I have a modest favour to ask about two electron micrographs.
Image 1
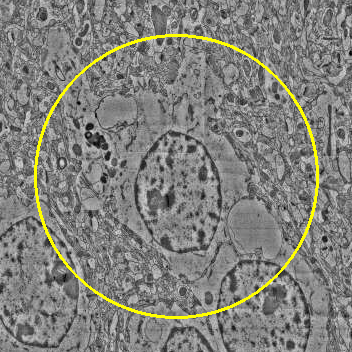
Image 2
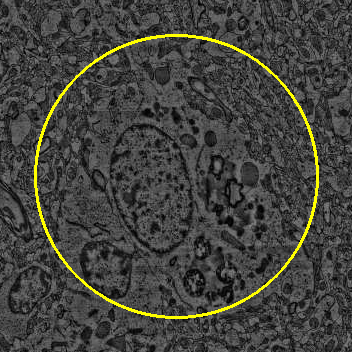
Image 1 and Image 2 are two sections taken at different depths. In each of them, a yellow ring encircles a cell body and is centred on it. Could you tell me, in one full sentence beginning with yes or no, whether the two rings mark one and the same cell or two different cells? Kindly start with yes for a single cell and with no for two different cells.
No, within the two rings lie two different cells.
